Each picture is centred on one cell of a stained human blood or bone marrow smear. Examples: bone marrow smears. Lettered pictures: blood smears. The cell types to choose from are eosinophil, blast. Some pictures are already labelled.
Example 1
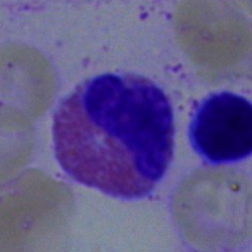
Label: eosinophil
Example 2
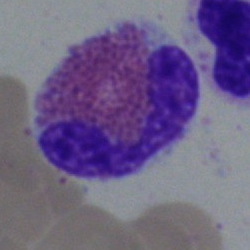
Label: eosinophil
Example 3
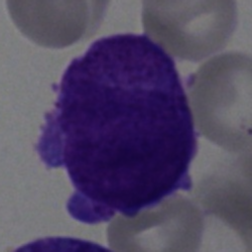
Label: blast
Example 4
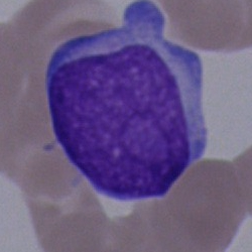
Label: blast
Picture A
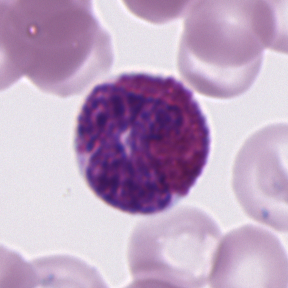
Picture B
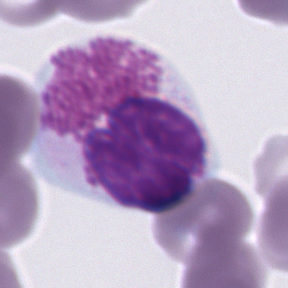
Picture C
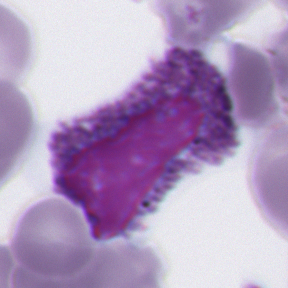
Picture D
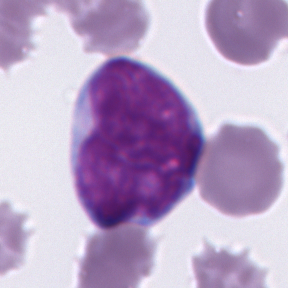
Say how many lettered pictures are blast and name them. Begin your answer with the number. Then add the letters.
1, namely D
